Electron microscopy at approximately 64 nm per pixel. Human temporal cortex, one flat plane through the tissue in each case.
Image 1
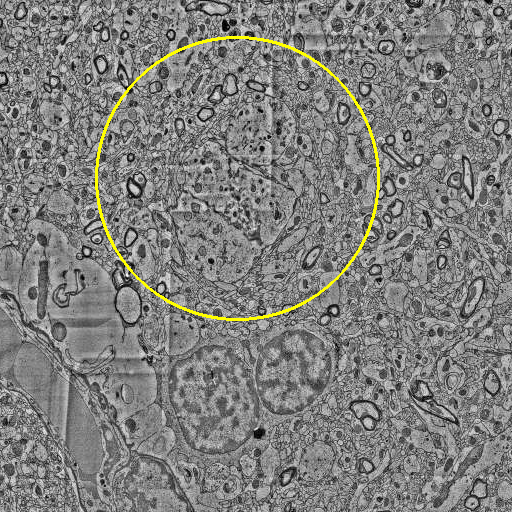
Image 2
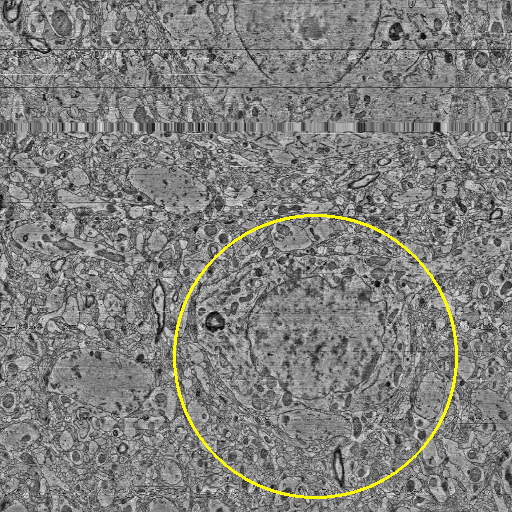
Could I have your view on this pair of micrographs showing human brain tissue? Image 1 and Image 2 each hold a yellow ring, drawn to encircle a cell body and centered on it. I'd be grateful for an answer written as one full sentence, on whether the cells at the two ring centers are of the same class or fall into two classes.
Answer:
The cells at the centers of the two rings are of the same class.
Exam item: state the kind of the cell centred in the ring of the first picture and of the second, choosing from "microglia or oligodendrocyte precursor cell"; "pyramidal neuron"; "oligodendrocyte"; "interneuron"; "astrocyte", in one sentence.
Each of the two cells is an interneuron.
